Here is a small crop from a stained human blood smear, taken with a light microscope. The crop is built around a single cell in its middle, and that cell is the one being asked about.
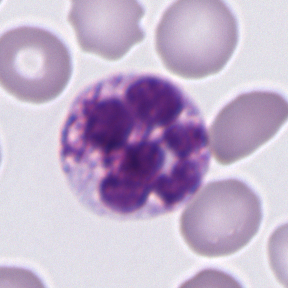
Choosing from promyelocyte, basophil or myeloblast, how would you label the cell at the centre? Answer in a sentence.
The cell occupying the middle of the crop is a basophil.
